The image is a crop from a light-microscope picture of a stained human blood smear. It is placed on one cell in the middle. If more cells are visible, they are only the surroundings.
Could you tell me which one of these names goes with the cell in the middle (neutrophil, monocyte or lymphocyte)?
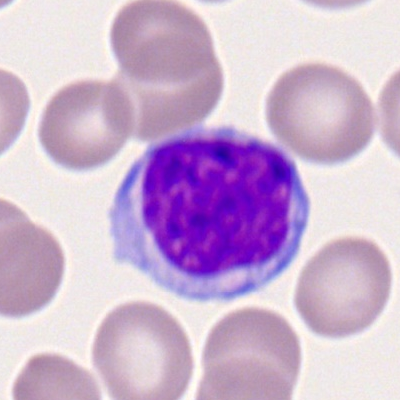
lymphocyte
